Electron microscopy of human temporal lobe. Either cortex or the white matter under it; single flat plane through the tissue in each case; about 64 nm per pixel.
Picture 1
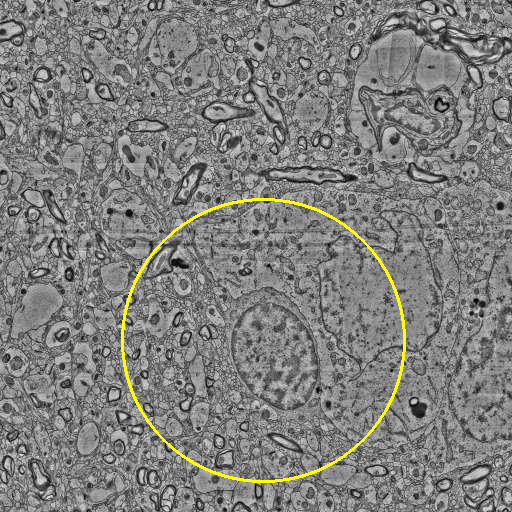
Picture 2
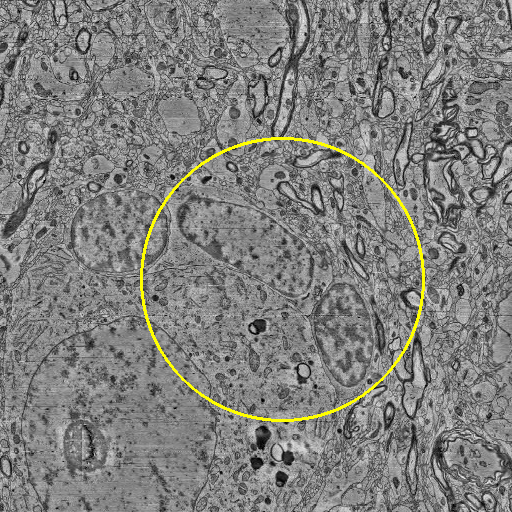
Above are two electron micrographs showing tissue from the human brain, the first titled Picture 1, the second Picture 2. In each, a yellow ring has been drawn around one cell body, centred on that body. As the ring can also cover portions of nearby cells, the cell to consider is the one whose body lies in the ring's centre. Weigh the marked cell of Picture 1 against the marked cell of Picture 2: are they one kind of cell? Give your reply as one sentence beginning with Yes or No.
No, the two cells sitting at the ring centres in the pictures are of two kinds.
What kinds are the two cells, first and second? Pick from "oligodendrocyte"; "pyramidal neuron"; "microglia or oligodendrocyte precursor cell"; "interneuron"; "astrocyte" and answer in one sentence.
The second picture holds a microglial cell or oligodendrocyte precursor cell in its ring, and the first holds an oligodendrocyte.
